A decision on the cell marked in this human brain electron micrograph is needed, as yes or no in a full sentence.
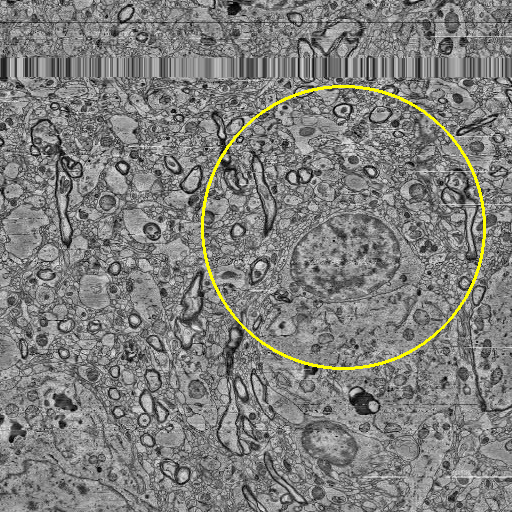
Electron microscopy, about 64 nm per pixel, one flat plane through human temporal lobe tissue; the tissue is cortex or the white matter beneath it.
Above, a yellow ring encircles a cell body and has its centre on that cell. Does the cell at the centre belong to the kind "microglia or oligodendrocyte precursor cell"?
No, a different kind fits the cell at the centre of the ring in the picture.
